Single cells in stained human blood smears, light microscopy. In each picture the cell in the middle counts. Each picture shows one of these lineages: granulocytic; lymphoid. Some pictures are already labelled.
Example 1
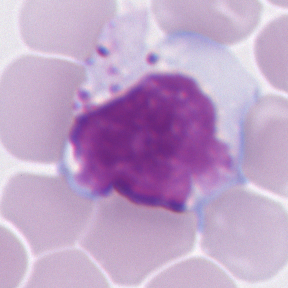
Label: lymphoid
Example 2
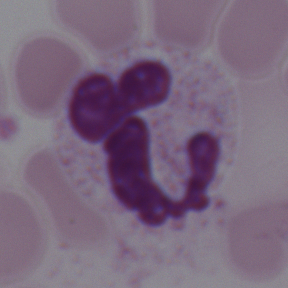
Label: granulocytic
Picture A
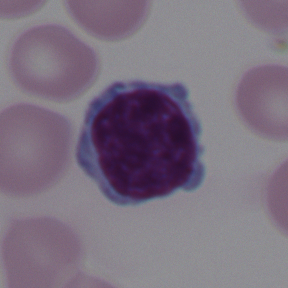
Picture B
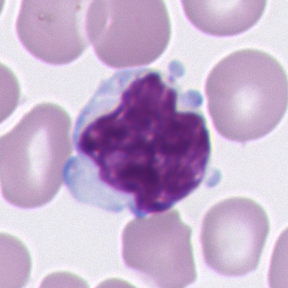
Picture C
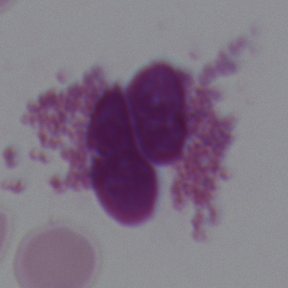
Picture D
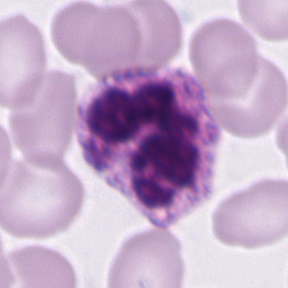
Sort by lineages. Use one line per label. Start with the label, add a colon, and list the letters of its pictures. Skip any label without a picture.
granulocytic: C, D
lymphoid: A, B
